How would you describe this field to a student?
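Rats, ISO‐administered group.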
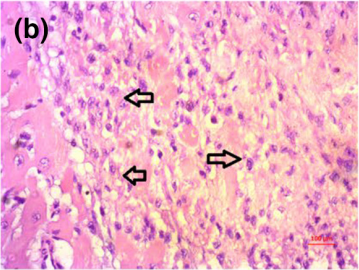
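Heart muscle in which a broad pale area is filled with infiltrating cells. Numerous small, round to oval, dark purple nuclei lie densely scattered in a loose, pale, vacuolated background, with little organised cytoplasm around them. At the edges, pink fragments of muscle fibres remain, irregular in outline and no longer running in parallel. Some pinker, homogeneous patches lie among the infiltrate. The normal orderly arrangement of long parallel muscle fibres is lost in this field, replaced by disorganised, cell-rich tissue with pale spaces between the cells.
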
